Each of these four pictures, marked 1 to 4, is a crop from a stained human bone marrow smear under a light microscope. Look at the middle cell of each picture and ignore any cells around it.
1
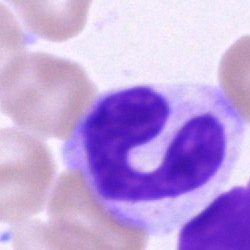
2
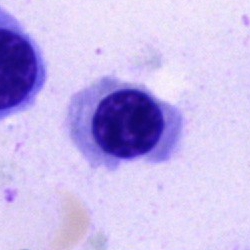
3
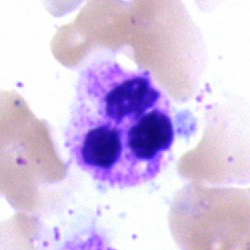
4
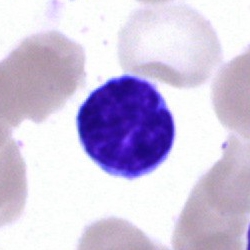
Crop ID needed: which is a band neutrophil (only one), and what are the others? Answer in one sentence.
Crop 1 displays a band neutrophil, whereas crop 2 is a normoblast, crop 3 is a segmented neutrophil and crop 4 is a lymphocyte.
